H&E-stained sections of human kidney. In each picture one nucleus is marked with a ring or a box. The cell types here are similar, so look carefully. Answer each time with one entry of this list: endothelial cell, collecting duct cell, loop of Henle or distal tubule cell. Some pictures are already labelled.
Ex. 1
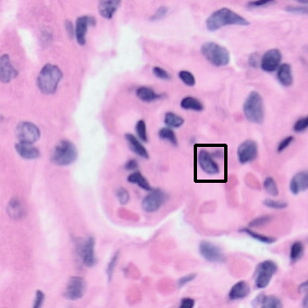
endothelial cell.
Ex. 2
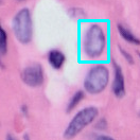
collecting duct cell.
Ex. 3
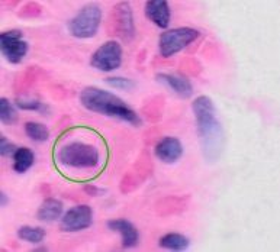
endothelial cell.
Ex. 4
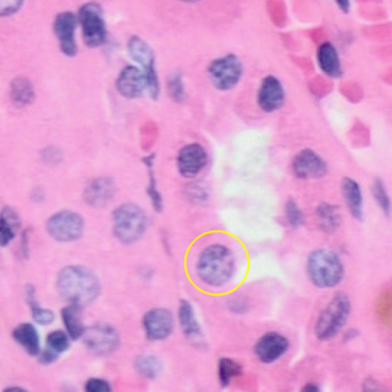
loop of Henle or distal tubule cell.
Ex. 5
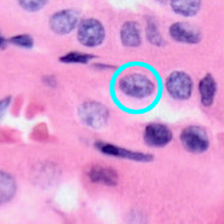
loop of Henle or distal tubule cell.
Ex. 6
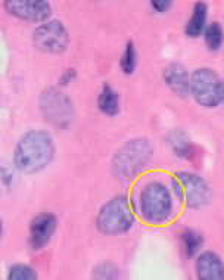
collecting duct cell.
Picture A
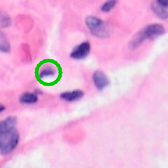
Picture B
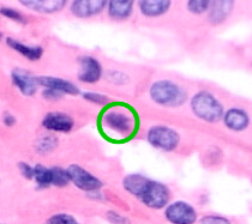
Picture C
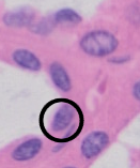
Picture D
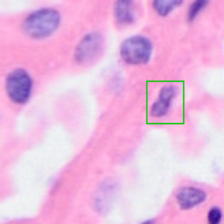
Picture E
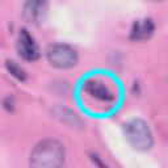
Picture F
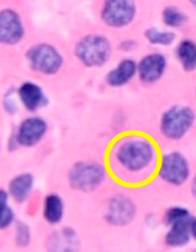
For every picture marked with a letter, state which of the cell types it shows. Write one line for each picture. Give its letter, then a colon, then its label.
A: endothelial cell.
B: loop of Henle or distal tubule cell.
C: loop of Henle or distal tubule cell.
D: loop of Henle or distal tubule cell.
E: collecting duct cell.
F: loop of Henle or distal tubule cell.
